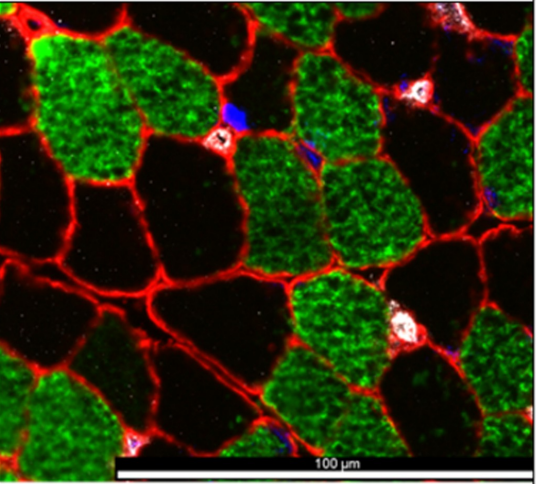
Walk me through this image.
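Transverse section of skeletal muscle with closely packed polygonal muscle fibers, each surrounded by a continuous thin red rim that outlines its border. Roughly half the fibers fill with a granular green signal. The others stay dark, almost black. Green and dark fibers are intermixed in a mosaic pattern, with no grouping of one kind. Narrow interstitial spaces separate neighbouring fibers. A few small blue patches also lie between fibers.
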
